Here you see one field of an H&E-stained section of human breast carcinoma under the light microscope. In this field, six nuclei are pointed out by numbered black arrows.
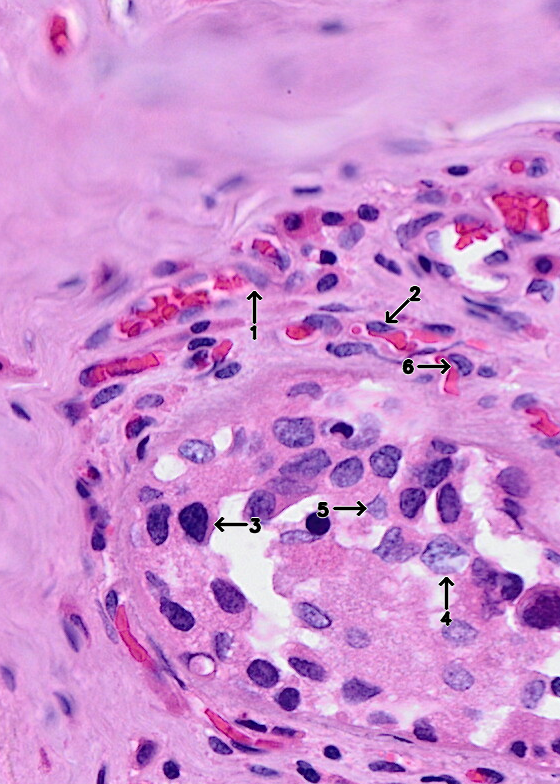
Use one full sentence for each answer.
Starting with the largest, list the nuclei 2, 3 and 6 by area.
Largest first, the order by area is 3, 6, 2.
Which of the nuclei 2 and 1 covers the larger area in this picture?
The larger nucleus is 1, at roughly 2 times the area of 2.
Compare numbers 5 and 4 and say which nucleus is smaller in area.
Nucleus 5 covers less area, with nucleus 4 about 3 times as large.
